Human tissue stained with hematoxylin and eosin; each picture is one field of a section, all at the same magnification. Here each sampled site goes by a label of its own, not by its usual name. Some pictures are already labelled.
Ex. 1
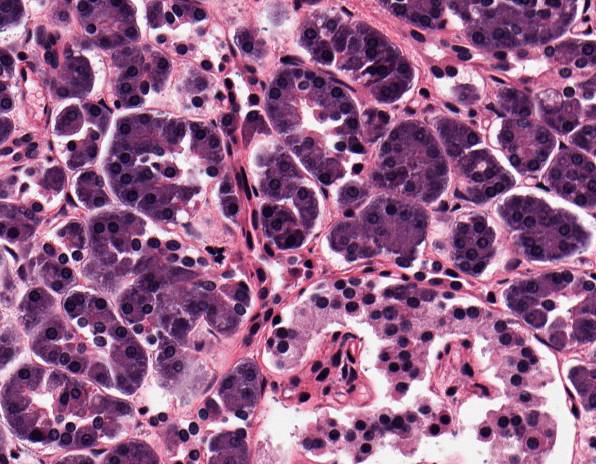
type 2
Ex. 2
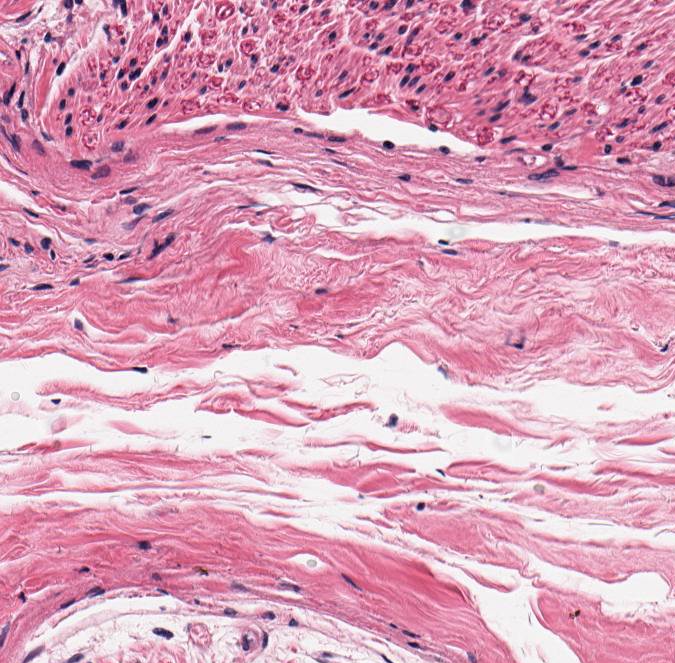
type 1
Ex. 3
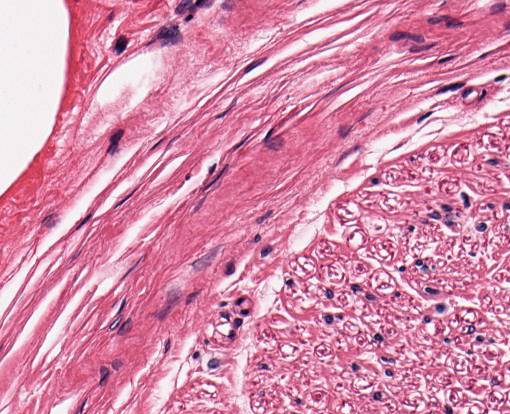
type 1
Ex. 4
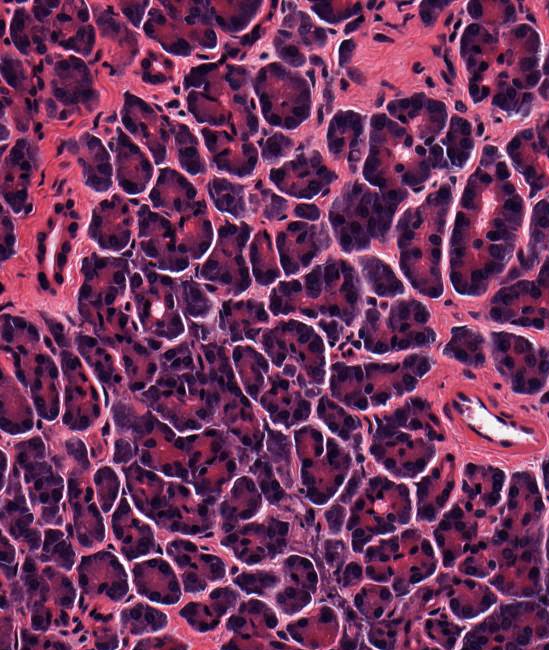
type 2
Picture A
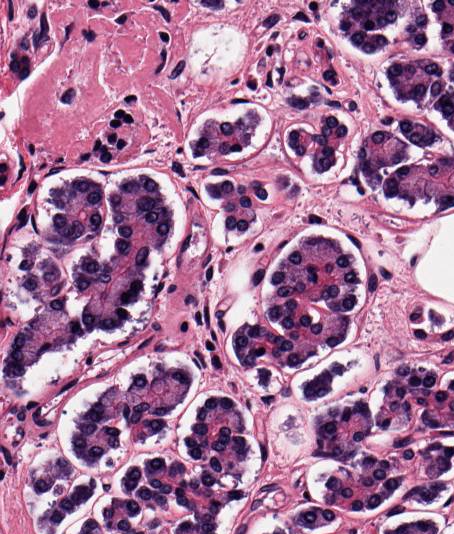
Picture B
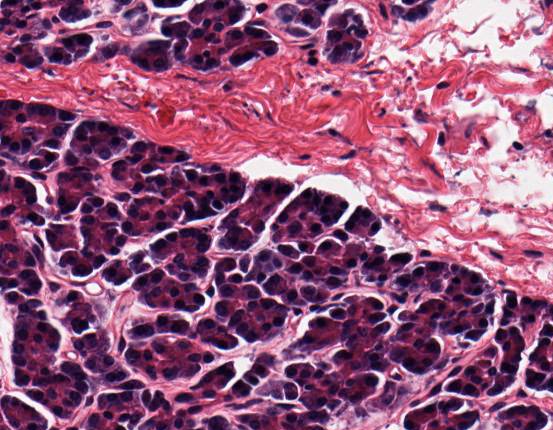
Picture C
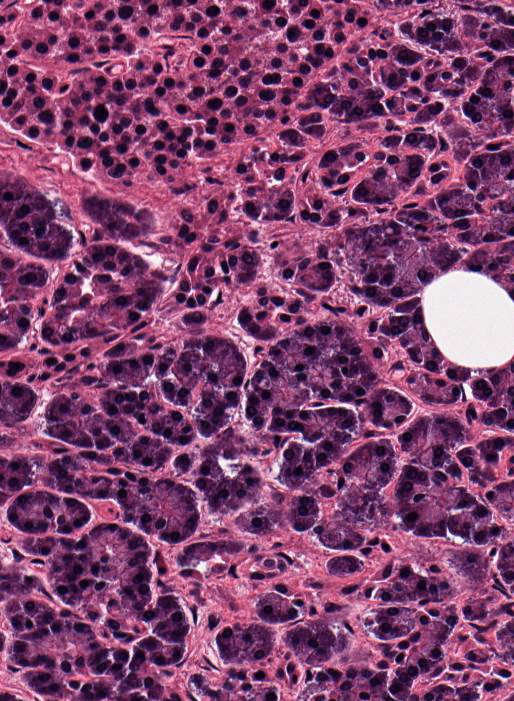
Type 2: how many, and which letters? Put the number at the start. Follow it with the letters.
3: A, B, C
